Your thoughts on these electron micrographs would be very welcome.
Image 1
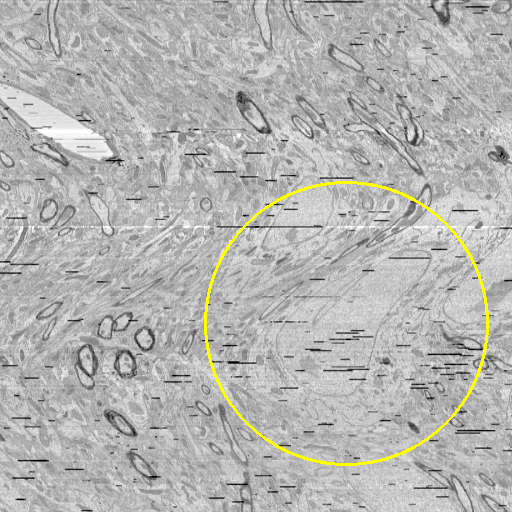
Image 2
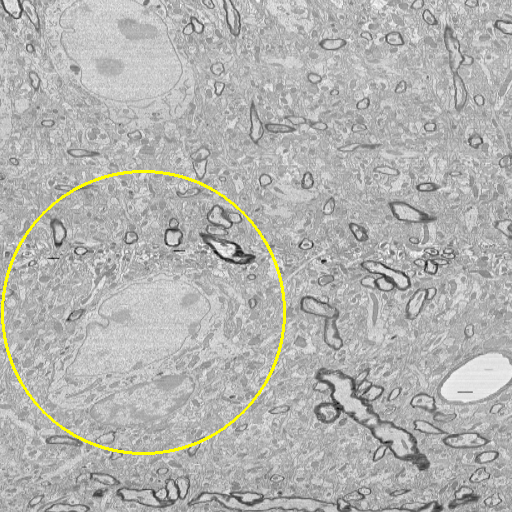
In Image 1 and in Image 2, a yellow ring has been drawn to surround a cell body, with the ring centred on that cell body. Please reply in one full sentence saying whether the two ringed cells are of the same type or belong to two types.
The ringed cells in Image 1 and Image 2 are of the same type.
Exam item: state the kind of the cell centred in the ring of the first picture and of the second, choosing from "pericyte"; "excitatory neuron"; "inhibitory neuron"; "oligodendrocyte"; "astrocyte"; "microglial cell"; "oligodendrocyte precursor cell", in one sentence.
Both cells are the same kind, each one being an excitatory neuron.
